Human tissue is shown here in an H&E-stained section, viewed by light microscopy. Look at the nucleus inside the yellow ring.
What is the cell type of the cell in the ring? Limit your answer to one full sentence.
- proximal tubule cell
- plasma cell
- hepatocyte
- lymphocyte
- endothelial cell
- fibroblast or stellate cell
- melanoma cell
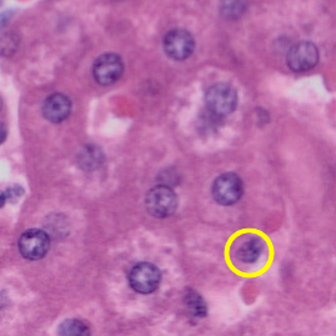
It is as an endothelial cell that the cell in the ring is classified.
